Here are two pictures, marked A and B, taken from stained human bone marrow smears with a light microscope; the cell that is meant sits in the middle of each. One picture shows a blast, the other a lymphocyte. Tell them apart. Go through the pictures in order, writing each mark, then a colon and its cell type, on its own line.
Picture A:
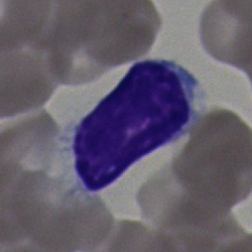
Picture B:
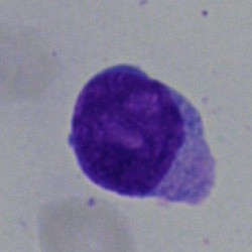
A: lymphocyte
B: blast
